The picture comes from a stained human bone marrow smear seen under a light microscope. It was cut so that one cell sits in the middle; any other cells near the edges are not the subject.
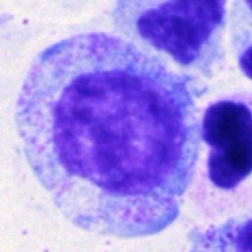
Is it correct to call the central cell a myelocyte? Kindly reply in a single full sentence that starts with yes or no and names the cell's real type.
No, the cell placed at the center is a promyelocyte rather than a myelocyte.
